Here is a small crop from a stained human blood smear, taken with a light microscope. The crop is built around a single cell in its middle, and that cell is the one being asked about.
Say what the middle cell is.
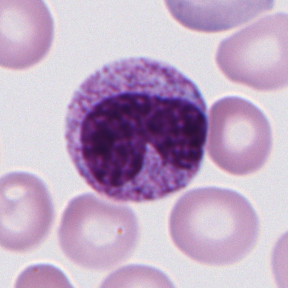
band neutrophil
